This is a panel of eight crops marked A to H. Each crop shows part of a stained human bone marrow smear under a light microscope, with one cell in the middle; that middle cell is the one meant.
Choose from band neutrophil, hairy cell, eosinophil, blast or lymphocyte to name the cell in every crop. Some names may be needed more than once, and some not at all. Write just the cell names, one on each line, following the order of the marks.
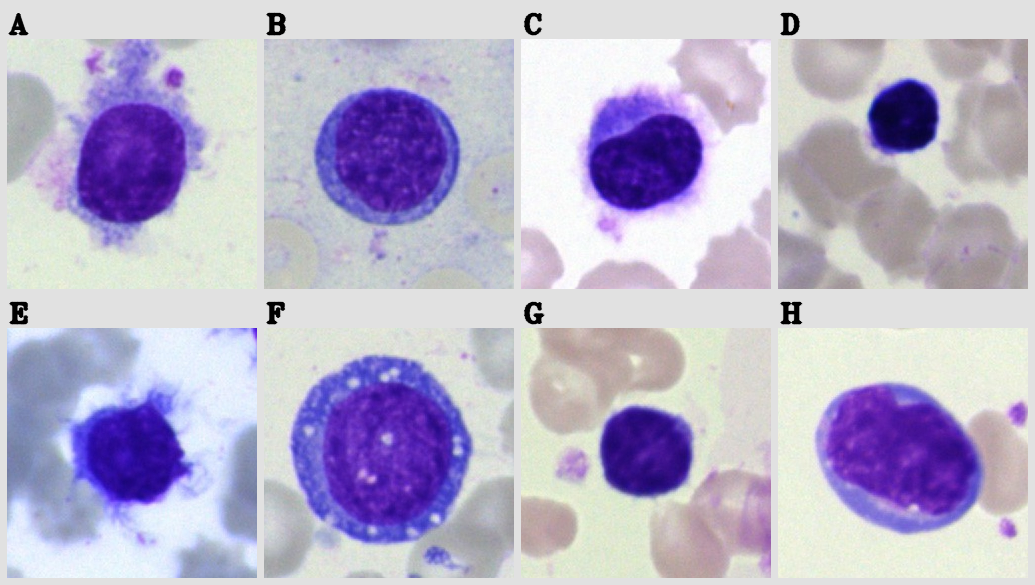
hairy cell
blast
hairy cell
lymphocyte
hairy cell
blast
lymphocyte
blast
